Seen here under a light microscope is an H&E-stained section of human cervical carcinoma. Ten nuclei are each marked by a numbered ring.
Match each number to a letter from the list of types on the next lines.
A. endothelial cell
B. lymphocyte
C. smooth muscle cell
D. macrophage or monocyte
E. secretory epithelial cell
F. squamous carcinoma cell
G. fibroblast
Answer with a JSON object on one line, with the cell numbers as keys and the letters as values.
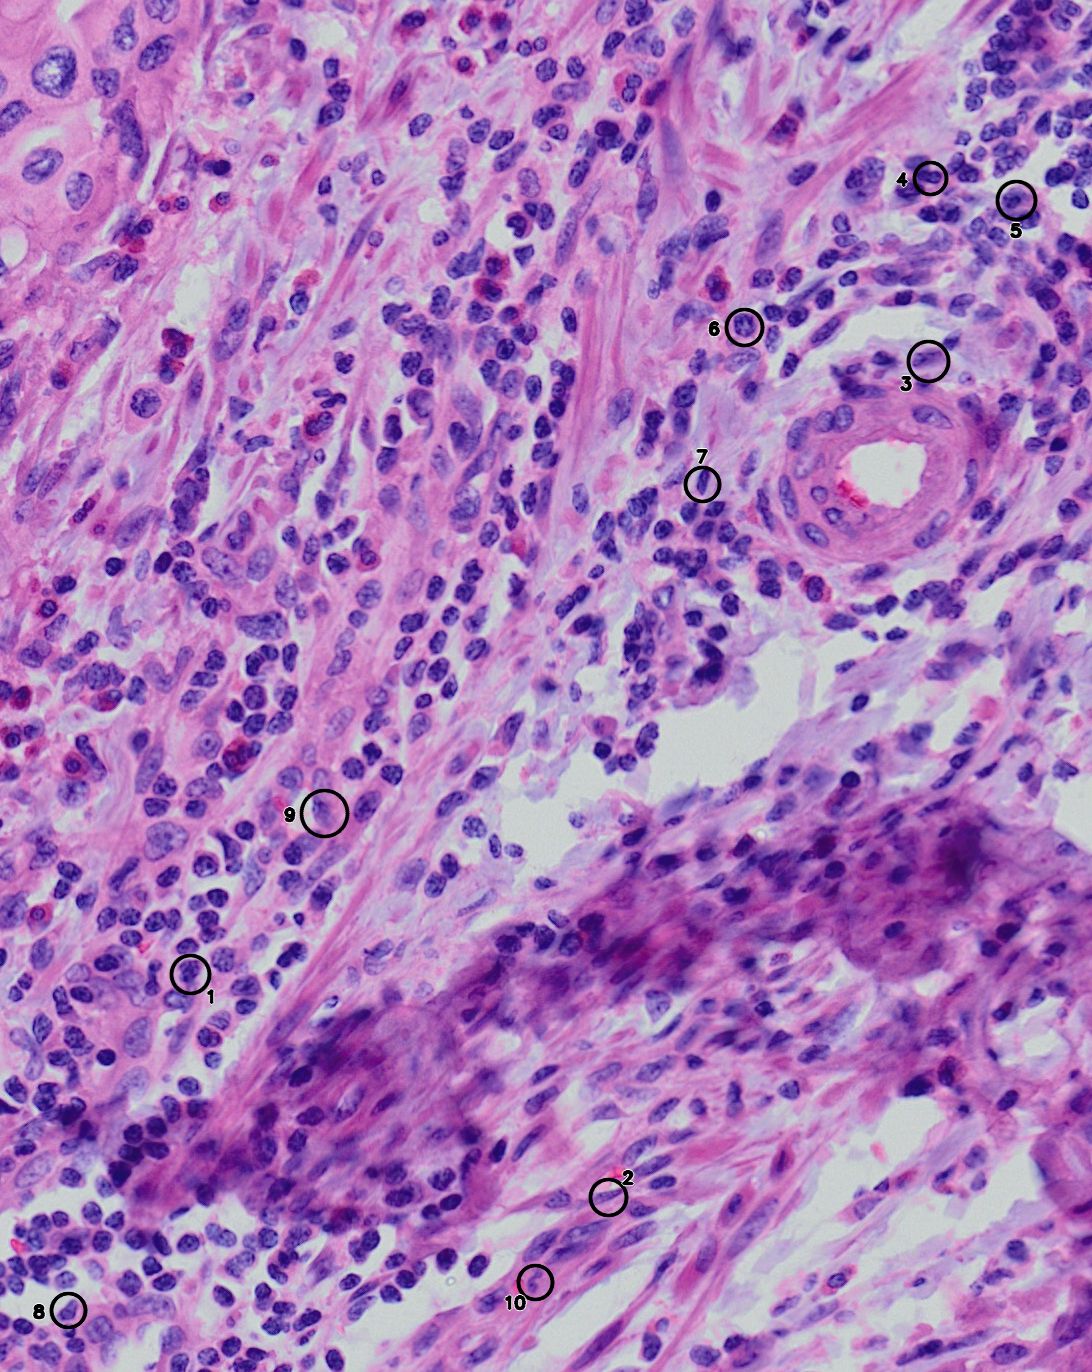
{"1": "B", "2": "A", "3": "D", "4": "B", "5": "B", "6": "B", "7": "B", "8": "B", "9": "A", "10": "A"}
